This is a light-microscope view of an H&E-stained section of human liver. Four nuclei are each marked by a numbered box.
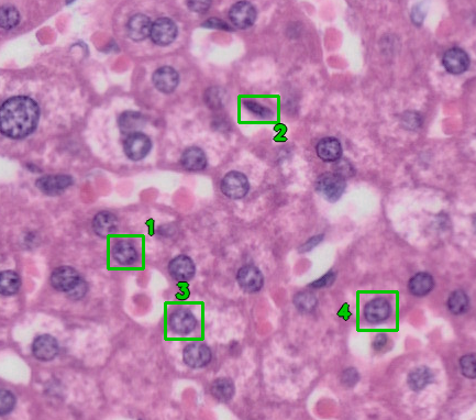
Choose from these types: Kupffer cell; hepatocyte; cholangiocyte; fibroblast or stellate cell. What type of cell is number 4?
hepatocyte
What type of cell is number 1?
hepatocyte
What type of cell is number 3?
hepatocyte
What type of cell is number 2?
Kupffer cell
